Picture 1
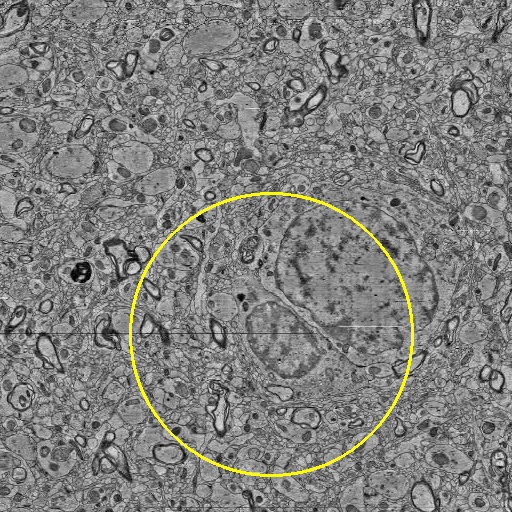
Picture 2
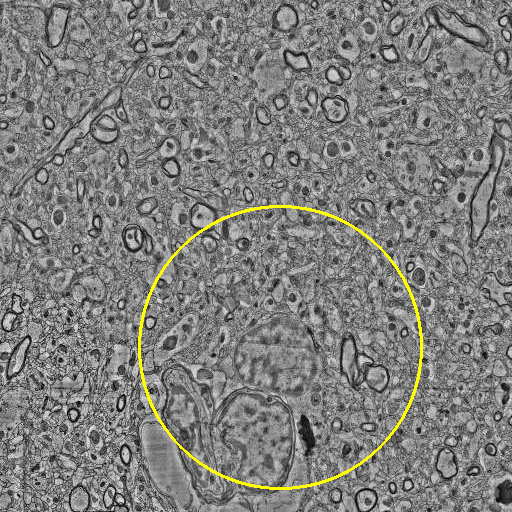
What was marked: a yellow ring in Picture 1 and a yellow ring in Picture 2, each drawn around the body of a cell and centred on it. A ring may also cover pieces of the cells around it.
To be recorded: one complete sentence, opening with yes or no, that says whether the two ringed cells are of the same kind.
Yes, the two ringed cells are of the same kind.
